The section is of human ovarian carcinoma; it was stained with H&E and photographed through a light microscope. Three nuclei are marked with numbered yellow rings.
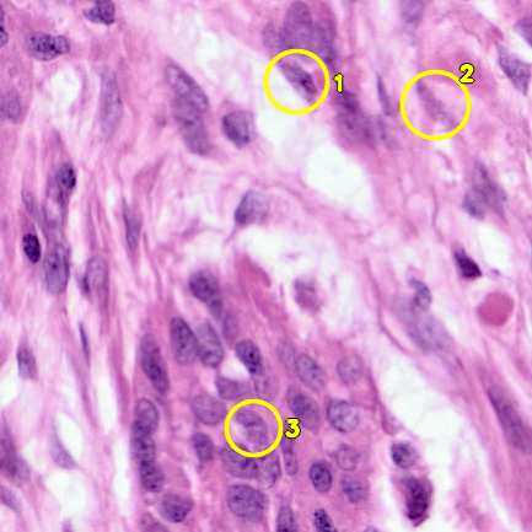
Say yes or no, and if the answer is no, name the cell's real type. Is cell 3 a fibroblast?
No, it is a carcinoma cell.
